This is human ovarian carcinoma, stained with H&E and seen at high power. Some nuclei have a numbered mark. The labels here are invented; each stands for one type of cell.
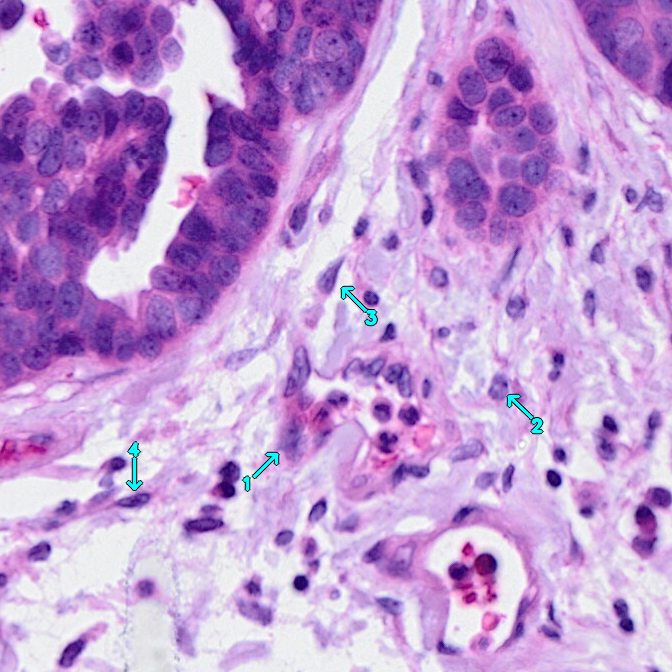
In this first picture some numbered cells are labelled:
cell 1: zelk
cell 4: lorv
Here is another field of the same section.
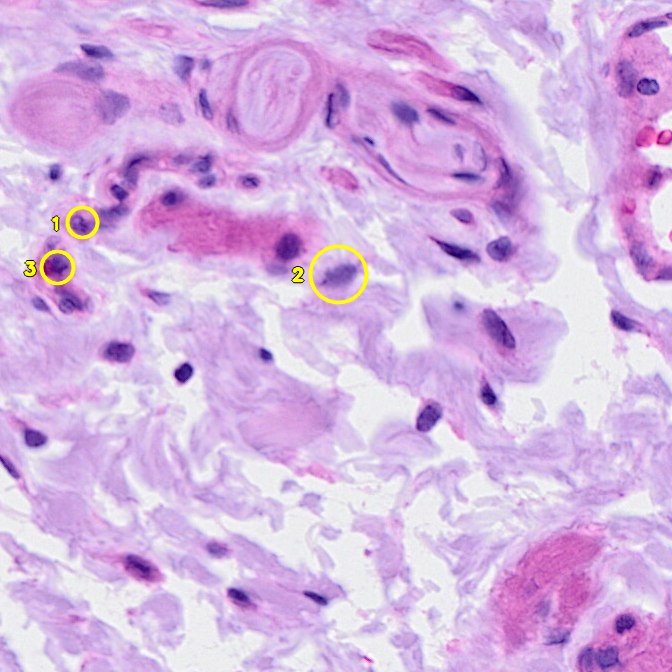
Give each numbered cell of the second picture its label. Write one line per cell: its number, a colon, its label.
1: zelk
2: lorv
3: zelk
